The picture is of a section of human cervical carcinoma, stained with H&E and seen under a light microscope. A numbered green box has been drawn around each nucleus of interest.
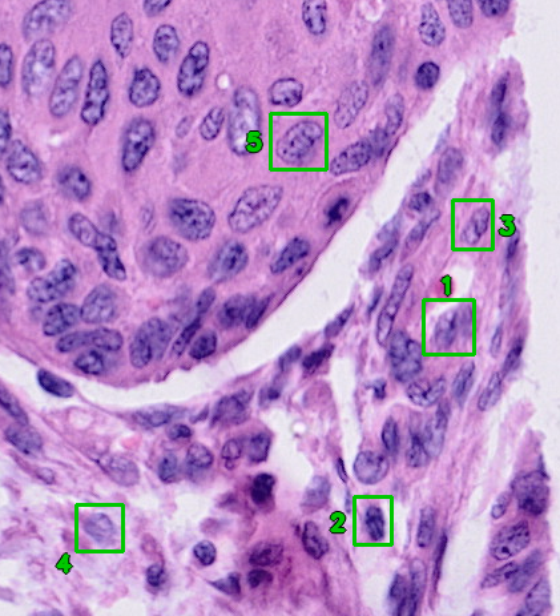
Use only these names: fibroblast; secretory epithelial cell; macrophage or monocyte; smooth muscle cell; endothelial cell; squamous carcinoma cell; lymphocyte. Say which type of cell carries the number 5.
squamous carcinoma cell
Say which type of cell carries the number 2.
lymphocyte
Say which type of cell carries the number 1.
endothelial cell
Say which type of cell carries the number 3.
endothelial cell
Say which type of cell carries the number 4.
fibroblast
